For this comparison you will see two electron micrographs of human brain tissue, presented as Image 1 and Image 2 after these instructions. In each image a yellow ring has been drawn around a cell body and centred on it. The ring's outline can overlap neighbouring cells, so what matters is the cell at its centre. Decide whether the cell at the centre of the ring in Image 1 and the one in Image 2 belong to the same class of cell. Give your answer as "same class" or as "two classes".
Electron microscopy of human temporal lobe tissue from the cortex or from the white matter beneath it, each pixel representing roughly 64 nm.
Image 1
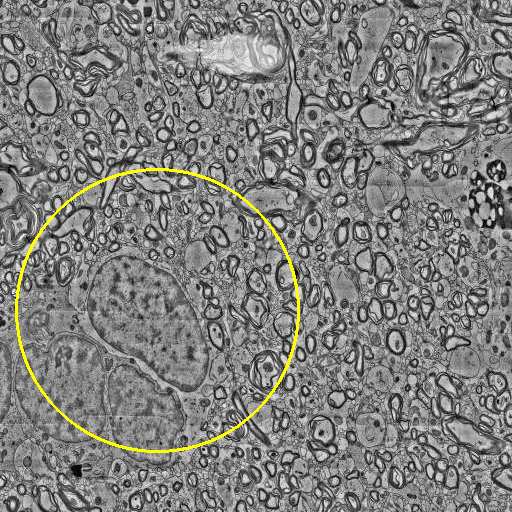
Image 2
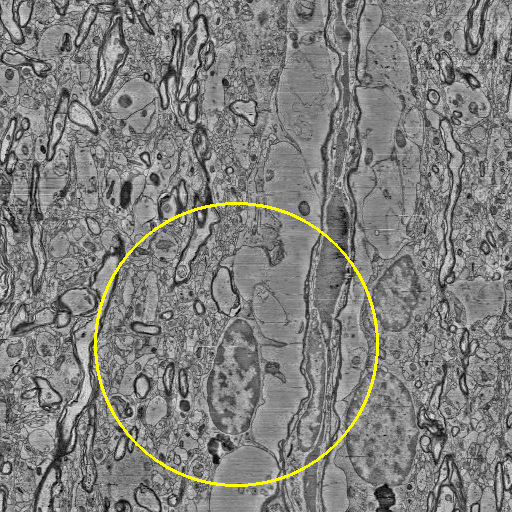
same class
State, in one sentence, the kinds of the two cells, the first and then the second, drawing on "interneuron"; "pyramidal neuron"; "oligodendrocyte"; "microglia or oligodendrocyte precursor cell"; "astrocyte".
Each of the two rings surrounds a microglial cell or oligodendrocyte precursor cell.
